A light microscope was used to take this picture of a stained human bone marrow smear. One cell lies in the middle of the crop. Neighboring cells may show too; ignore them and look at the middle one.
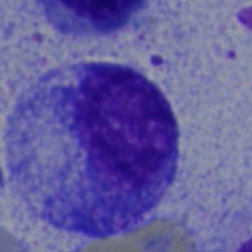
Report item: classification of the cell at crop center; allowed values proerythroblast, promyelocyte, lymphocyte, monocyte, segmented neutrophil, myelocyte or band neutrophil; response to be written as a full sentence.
In this smear crop, the middle cell is a promyelocyte.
